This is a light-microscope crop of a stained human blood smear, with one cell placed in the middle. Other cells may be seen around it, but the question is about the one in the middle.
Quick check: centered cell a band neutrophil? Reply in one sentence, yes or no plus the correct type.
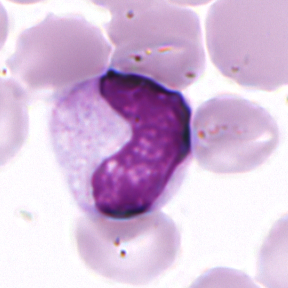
Yes, the central cell of this crop corresponds to a band neutrophil.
